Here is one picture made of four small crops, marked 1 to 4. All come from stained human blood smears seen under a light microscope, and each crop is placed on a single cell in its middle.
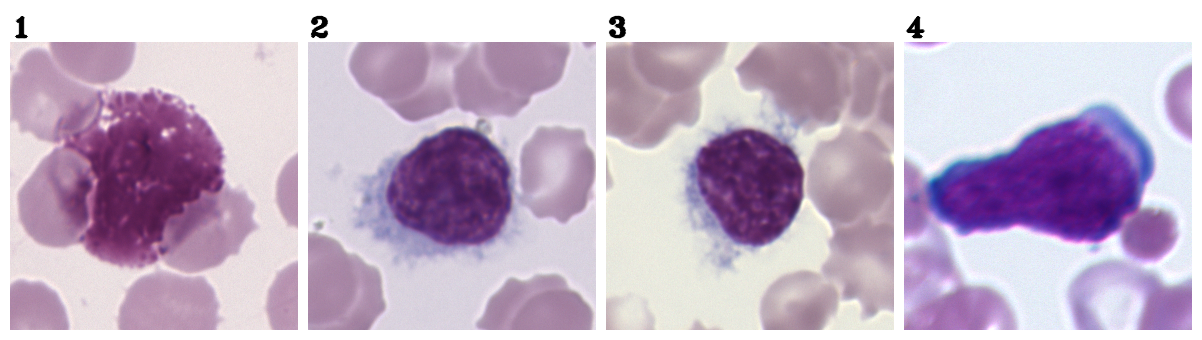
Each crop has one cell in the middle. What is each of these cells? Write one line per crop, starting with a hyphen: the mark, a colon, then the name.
- 1: smudge cell
- 2: hairy cell
- 3: hairy cell
- 4: myeloblast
